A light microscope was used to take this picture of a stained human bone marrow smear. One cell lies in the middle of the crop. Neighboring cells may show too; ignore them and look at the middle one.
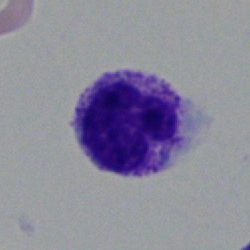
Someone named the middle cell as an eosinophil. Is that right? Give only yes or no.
no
